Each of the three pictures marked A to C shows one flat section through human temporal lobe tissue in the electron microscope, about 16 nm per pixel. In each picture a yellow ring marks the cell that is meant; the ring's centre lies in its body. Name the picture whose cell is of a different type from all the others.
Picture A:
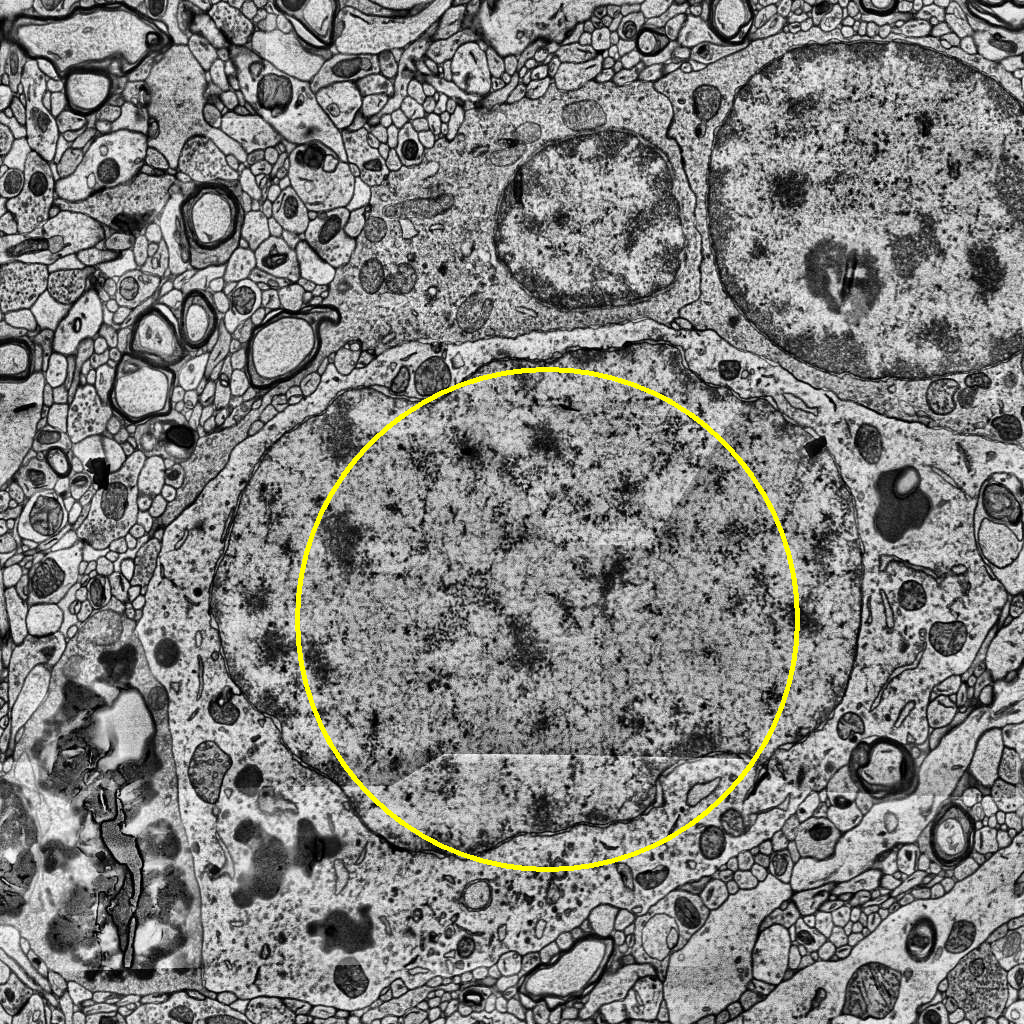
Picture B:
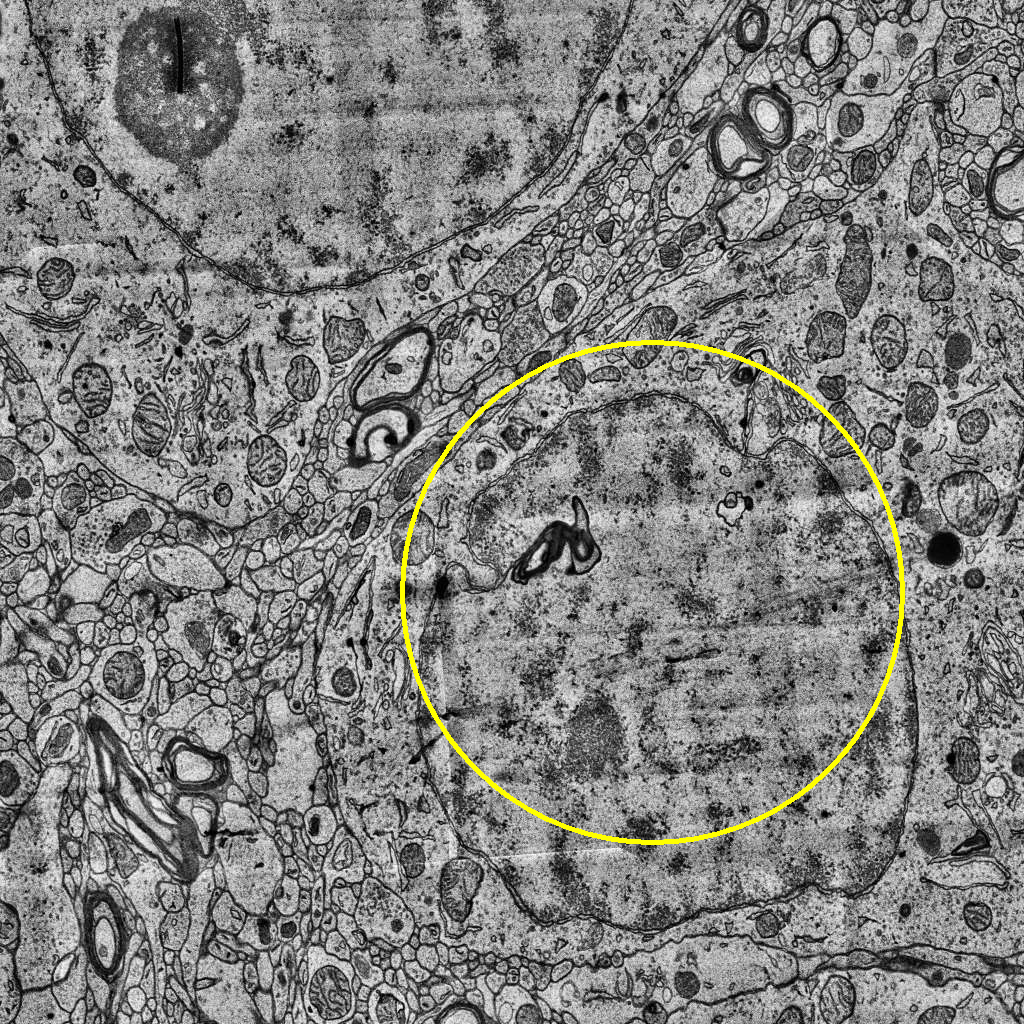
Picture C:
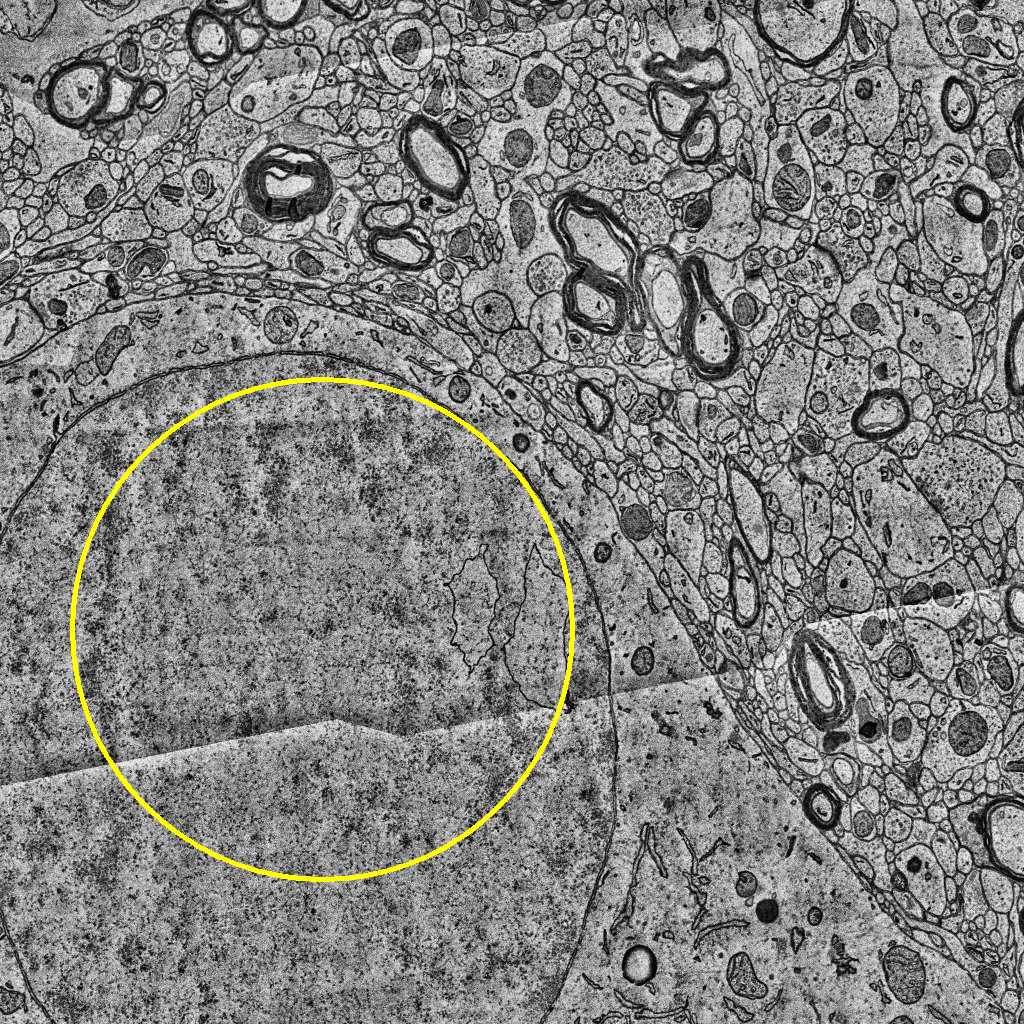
Picture C differs, because its cell is a pyramidal neuron and the rest are interneurons.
